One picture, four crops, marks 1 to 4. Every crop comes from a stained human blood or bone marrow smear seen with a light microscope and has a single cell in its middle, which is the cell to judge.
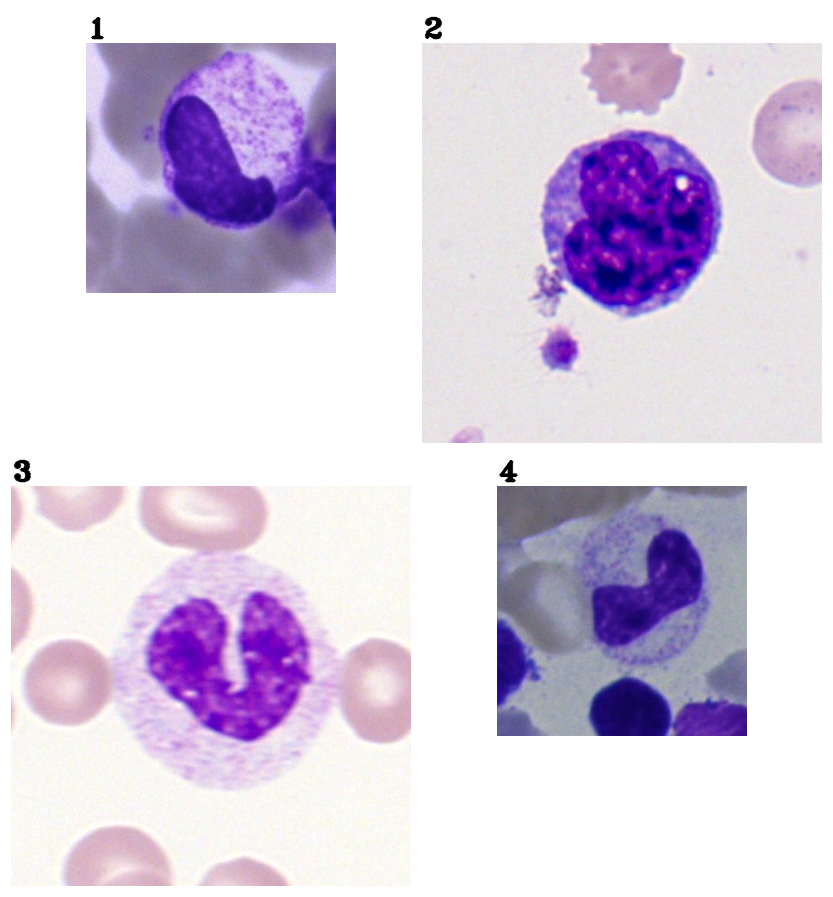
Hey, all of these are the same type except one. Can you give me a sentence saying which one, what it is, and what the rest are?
Crop 2 is the only crop with a monocyte, the others all showing band neutrophils.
